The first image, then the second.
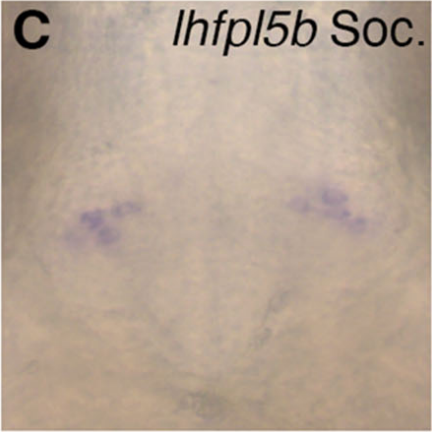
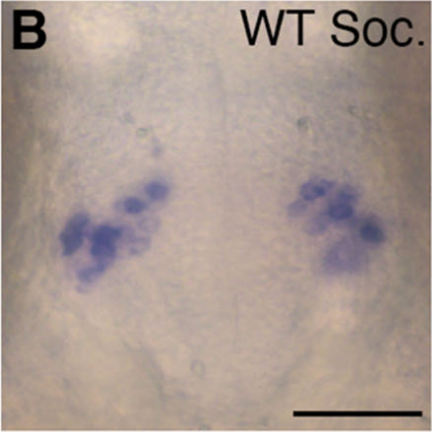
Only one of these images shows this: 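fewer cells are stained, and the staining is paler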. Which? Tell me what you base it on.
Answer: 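First image: only a few faint purple cells in two small, thin clusters. Second image: two dense clusters of many strongly purple, rounded cells. The answer: the first image.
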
